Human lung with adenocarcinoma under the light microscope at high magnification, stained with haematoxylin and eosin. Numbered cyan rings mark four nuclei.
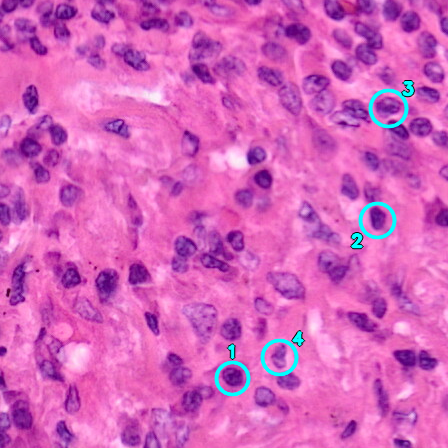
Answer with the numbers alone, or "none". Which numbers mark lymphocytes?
2, 3, 4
